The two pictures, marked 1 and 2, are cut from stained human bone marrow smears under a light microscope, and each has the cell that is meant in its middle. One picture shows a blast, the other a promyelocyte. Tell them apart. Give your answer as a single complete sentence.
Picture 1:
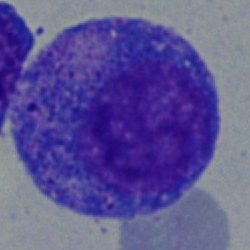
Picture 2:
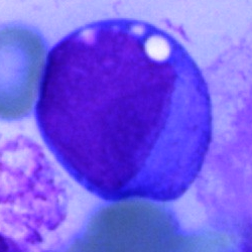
It is picture 1 that shows a promyelocyte, and picture 2 that shows a blast.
